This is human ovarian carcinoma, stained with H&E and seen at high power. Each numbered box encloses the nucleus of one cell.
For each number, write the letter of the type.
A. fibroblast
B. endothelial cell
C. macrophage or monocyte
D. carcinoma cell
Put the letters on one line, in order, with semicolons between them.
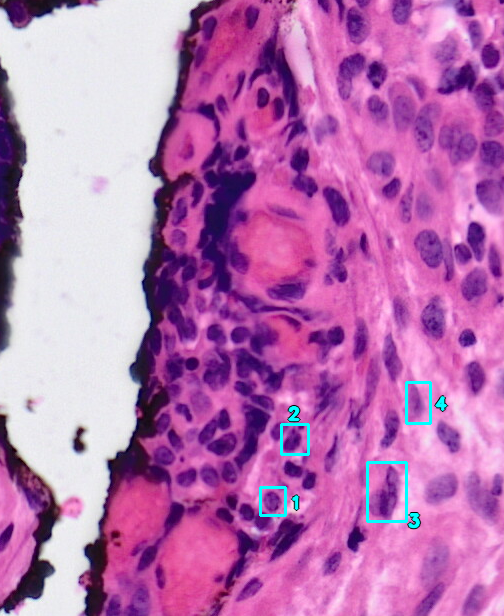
C; C; A; A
